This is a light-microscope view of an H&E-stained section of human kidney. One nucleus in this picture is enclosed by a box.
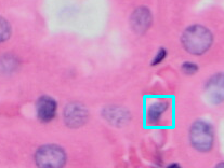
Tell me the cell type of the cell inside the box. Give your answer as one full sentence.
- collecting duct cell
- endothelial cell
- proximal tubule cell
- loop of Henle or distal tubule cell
Placed in its cell category, the cell inside the box is an endothelial cell.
